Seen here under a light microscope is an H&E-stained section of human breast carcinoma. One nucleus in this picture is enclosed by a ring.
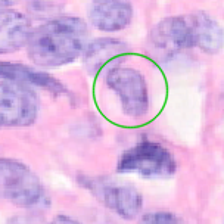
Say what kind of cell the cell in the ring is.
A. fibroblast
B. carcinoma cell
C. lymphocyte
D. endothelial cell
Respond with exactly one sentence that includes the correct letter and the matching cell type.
Option B gives the correct identity of the cell in the ring, which is a carcinoma cell.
